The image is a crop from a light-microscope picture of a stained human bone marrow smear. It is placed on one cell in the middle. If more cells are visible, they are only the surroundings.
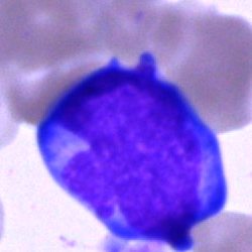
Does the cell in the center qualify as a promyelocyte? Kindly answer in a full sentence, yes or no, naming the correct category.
No, the cell in the centre of the crop is a blast as opposed to a promyelocyte.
